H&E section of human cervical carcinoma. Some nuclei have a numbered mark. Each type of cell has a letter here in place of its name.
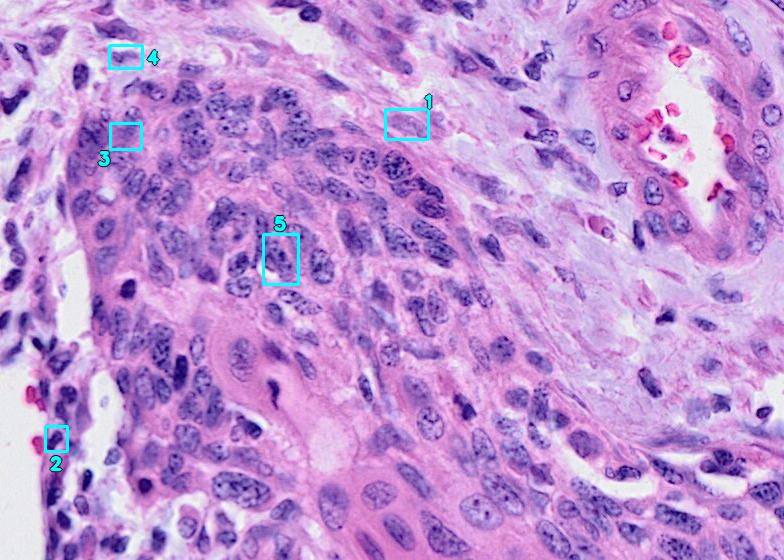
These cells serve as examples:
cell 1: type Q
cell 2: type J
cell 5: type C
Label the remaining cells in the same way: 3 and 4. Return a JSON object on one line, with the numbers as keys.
{"3": "type C", "4": "type Q"}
